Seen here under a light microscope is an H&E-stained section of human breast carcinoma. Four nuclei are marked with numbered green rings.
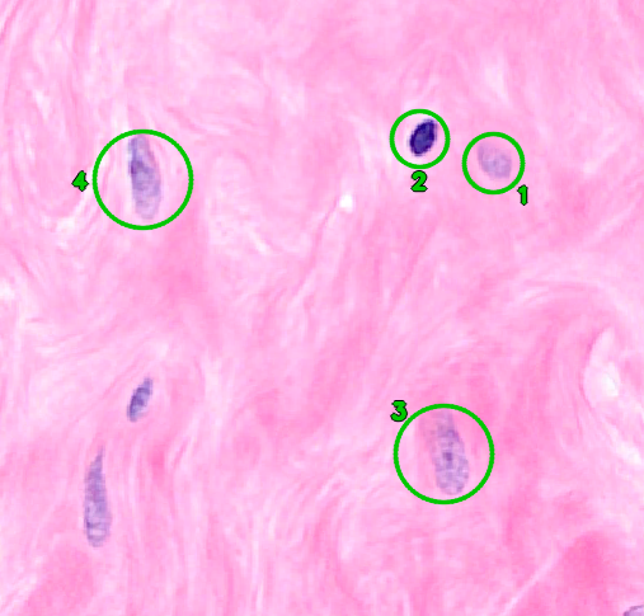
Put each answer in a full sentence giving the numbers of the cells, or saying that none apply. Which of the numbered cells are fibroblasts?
The cells to which the numbers 1, 3 and 4 refer are fibroblasts.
